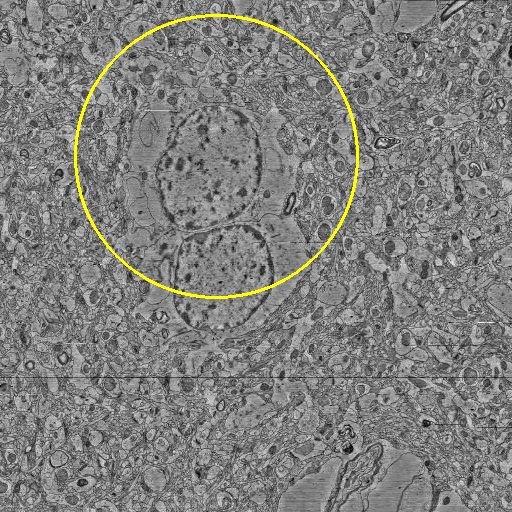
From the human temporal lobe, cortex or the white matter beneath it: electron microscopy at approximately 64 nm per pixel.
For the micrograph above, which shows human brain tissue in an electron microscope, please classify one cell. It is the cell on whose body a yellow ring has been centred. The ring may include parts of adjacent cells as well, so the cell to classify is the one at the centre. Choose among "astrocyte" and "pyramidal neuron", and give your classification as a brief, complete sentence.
I classify this cell as an astrocyte.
